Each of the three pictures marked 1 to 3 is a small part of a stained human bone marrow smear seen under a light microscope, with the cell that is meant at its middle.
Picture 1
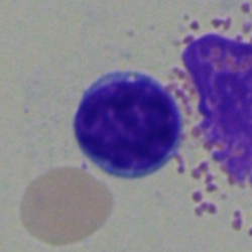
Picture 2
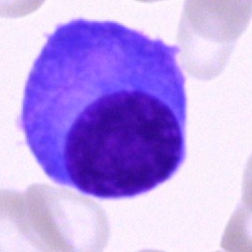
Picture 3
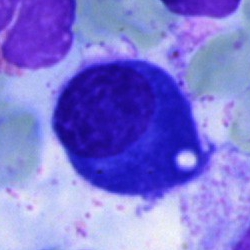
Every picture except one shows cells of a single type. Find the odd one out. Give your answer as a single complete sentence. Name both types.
Picture 1 differs, because its cell is a lymphocyte and the rest are plasma cells.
